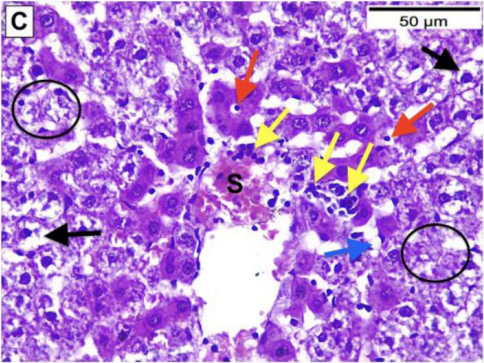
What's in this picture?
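Liver tissue around a central vein in which the regular cords of hepatocytes are broken up. Many hepatocytes are swollen with pale, clear, wispy cytoplasm, a sign of ballooning; others are shrunken with intensely pink cytoplasm and small dark nuclei, looking apoptotic. Near the vein lie clusters of small cells with round, dark nuclei and little cytoplasm, inflammatory cells. A sinusoid next to the vein is packed with red blood cells. In places, groups of cells have lost their outlines, leaving pale, frayed material with few nuclei, areas of lobular necrosis. Small clear round spaces suggest lipid droplets.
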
